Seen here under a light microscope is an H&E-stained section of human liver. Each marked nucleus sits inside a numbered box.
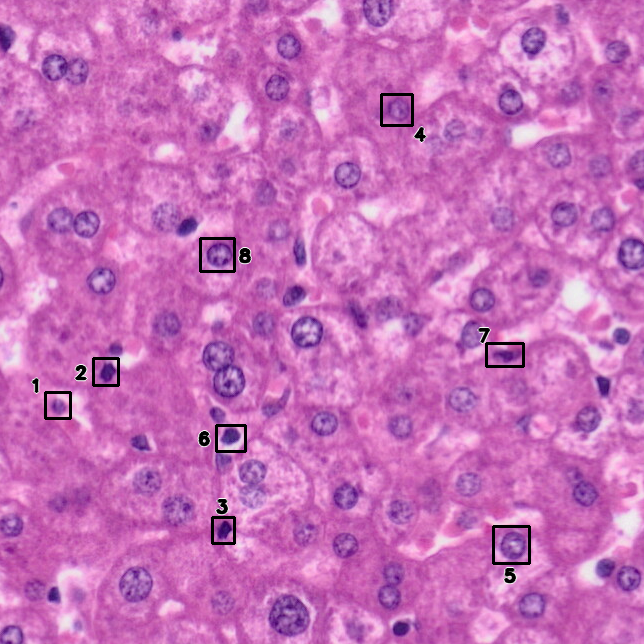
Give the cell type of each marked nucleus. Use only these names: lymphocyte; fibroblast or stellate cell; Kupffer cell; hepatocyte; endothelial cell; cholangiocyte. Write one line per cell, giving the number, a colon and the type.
1: lymphocyte
2: fibroblast or stellate cell
3: fibroblast or stellate cell
4: hepatocyte
5: hepatocyte
6: lymphocyte
7: endothelial cell
8: hepatocyte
